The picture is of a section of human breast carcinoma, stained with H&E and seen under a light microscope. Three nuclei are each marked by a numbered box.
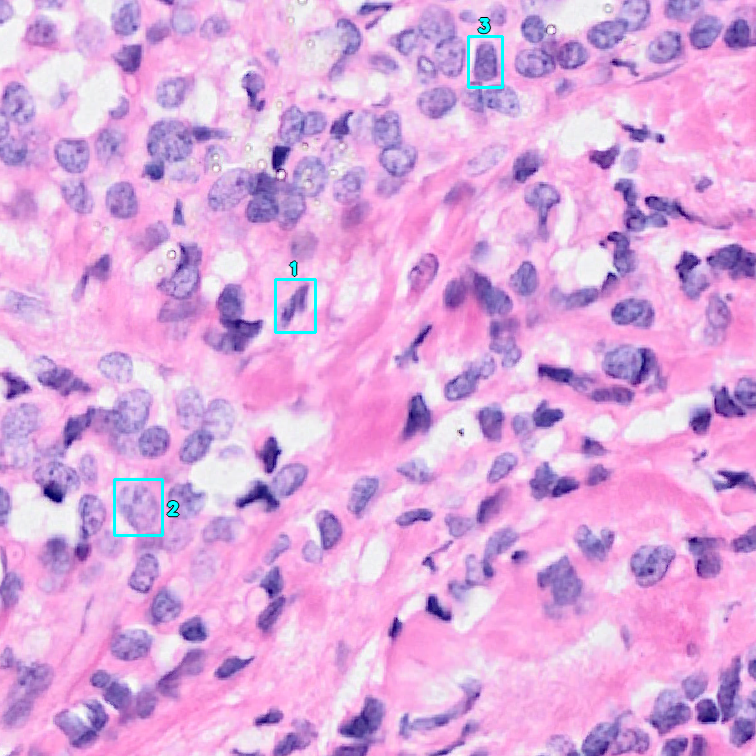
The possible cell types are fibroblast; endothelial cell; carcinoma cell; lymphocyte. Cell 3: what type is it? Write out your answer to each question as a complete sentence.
Corresponding to a carcinoma cell is the cell labelled 3.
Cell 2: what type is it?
The label 2 in this section denotes a carcinoma cell.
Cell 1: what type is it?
The cell referred to as 1 is a fibroblast.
